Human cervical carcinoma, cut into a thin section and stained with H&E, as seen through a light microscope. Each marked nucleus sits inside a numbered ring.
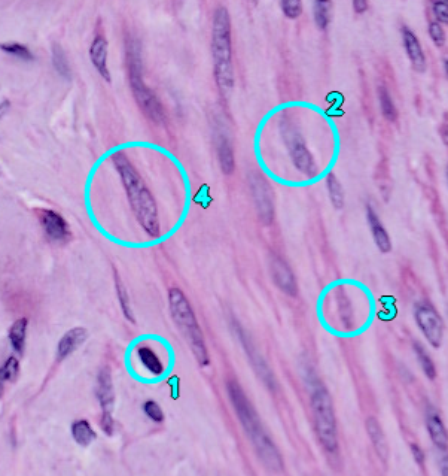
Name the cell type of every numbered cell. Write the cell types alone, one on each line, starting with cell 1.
lymphocyte
smooth muscle cell
smooth muscle cell
smooth muscle cell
